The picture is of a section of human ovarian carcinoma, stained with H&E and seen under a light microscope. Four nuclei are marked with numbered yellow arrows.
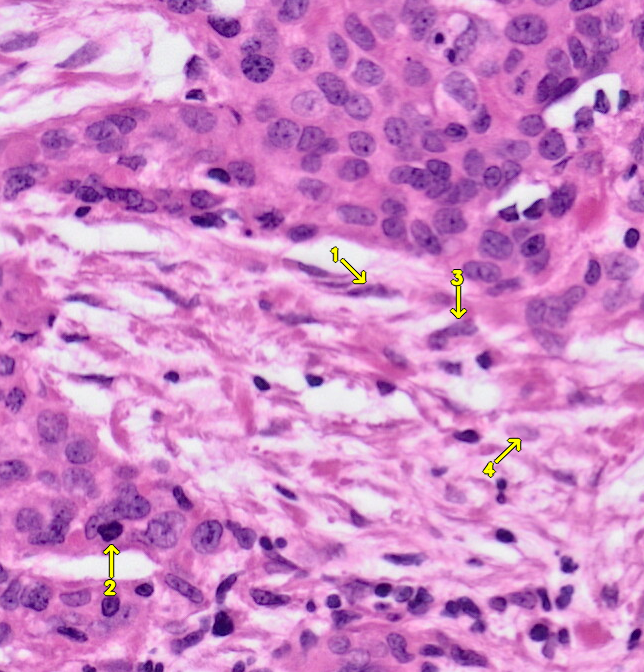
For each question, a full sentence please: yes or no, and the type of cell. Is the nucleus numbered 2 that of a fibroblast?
No, it is not a fibroblast that bears number 2 but a carcinoma cell.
